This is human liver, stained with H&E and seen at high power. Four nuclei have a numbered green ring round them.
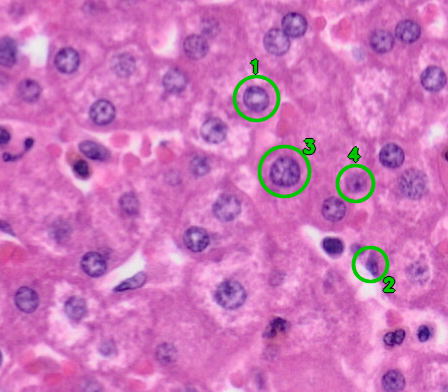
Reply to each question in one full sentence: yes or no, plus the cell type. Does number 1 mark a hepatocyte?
Yes, the cell sitting at number 1 is a hepatocyte.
